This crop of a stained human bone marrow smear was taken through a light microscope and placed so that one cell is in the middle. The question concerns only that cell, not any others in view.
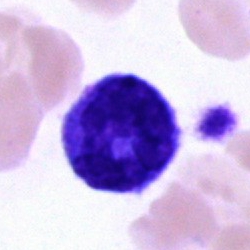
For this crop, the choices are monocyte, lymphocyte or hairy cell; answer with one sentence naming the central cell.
The centrally positioned cell in the crop represents a monocyte.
